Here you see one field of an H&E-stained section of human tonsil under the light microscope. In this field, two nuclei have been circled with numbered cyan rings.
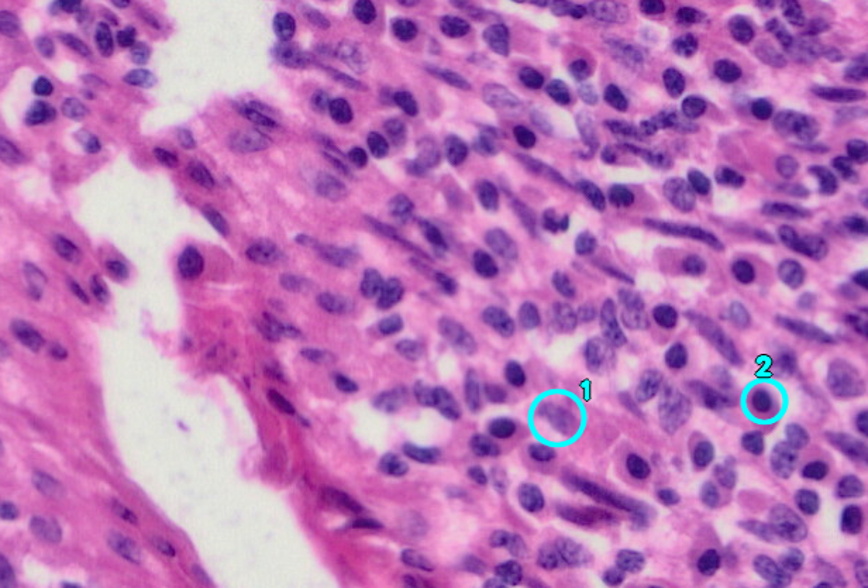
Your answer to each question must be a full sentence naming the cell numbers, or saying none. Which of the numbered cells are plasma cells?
Where the numbered cells are concerned, only number 2 is a plasma cell.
